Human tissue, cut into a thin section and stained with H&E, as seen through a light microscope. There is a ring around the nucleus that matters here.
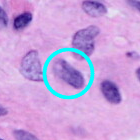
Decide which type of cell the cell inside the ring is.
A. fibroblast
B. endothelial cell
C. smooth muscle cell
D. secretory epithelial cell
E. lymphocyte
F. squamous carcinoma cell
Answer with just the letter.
A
